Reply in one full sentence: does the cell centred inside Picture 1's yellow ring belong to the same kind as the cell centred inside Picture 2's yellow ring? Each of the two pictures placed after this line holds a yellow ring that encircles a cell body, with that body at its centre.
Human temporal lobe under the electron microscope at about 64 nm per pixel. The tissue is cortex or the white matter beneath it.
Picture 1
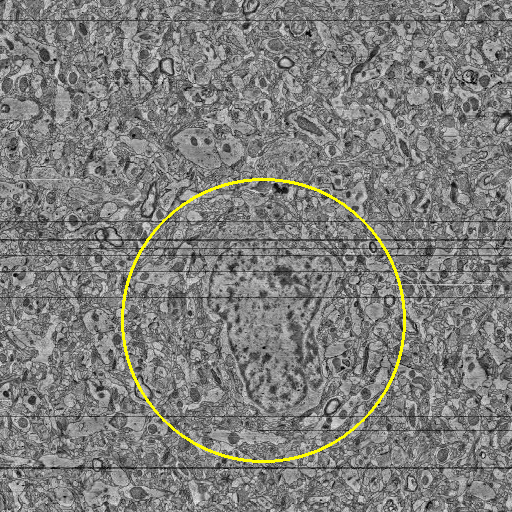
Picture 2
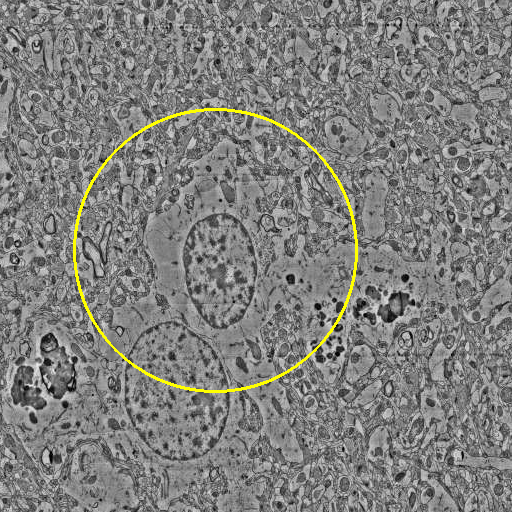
No, the ring-centred cells in Picture 1 and Picture 2 are of two separate kinds.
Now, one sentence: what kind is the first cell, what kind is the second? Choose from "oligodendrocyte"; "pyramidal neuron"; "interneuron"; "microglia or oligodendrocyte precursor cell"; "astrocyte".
The first picture has a microglial cell or oligodendrocyte precursor cell at its ring centre, and the second has an astrocyte.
